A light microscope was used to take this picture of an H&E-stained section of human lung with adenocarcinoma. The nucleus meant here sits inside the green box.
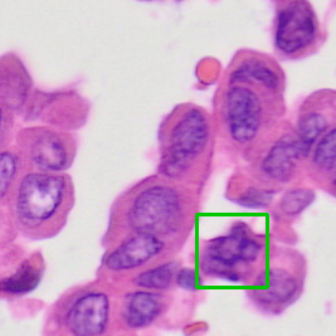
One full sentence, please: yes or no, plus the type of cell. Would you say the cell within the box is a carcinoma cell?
Yes, the cell within the box is recognized as a carcinoma cell in this section.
